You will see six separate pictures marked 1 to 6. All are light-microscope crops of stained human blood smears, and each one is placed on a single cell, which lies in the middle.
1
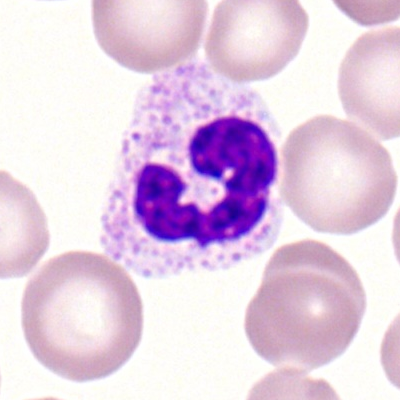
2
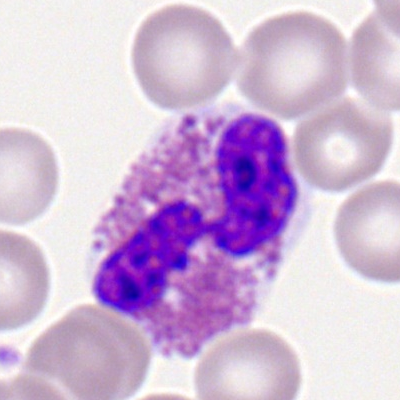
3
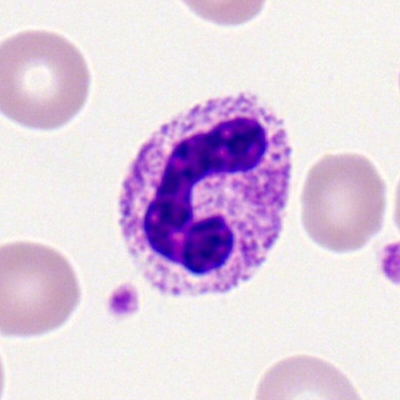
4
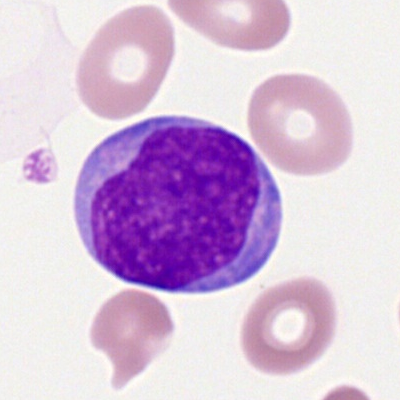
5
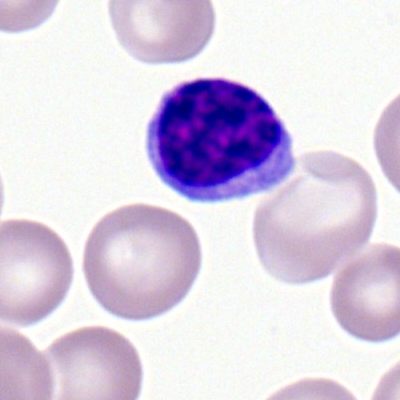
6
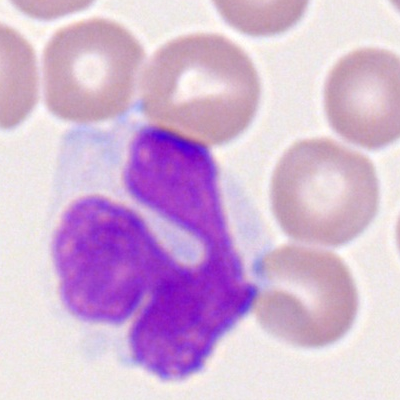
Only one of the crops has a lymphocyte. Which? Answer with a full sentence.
On review of the set, crop 5 is the one showing a lymphocyte.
